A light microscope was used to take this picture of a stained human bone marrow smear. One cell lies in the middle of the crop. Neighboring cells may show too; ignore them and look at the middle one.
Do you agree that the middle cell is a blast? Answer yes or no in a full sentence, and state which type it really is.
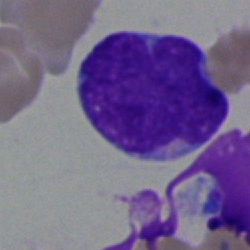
Yes, the cell in the centre is a blast.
